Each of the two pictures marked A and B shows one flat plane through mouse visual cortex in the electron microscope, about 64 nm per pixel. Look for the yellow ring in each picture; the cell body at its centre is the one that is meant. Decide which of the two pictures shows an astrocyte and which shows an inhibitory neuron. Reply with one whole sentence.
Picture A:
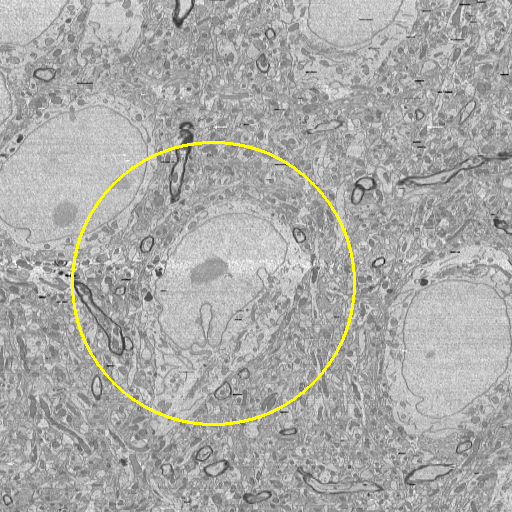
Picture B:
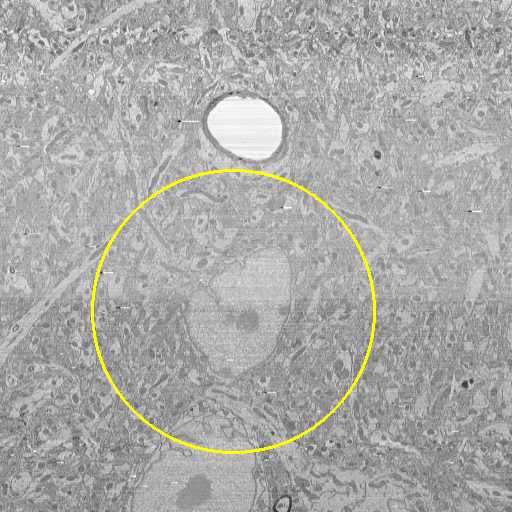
In picture A the cell is an inhibitory neuron; in picture B, an astrocyte.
